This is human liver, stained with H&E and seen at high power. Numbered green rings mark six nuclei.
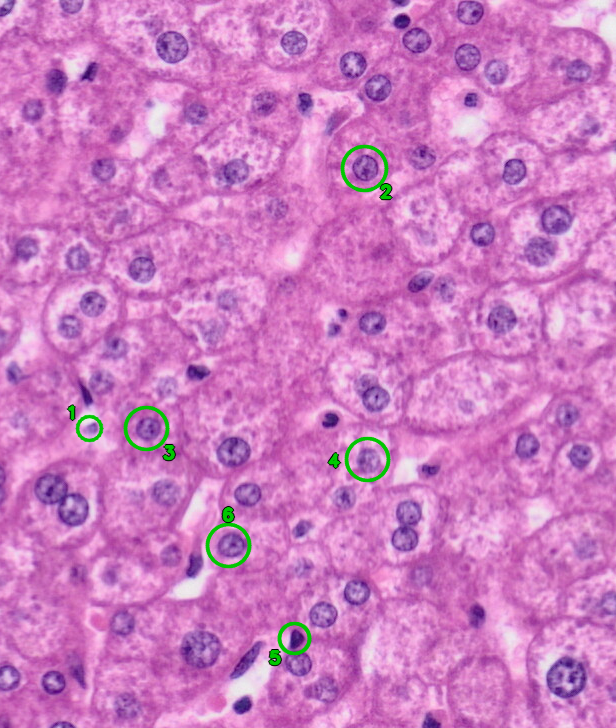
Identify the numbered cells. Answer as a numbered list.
1. lymphocyte
2. hepatocyte
3. hepatocyte
4. hepatocyte
5. fibroblast or stellate cell
6. hepatocyte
